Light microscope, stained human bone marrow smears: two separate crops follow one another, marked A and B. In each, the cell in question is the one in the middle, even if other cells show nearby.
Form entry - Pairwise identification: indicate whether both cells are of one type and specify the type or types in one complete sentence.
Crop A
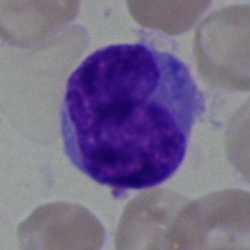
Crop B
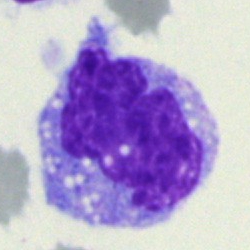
Yes, in both crops, monocytes are the cells at the middle.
